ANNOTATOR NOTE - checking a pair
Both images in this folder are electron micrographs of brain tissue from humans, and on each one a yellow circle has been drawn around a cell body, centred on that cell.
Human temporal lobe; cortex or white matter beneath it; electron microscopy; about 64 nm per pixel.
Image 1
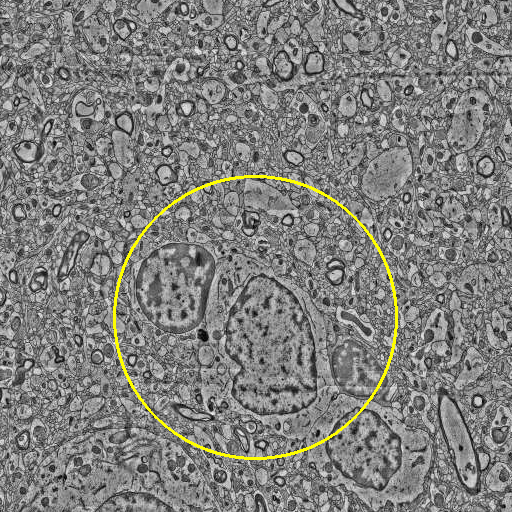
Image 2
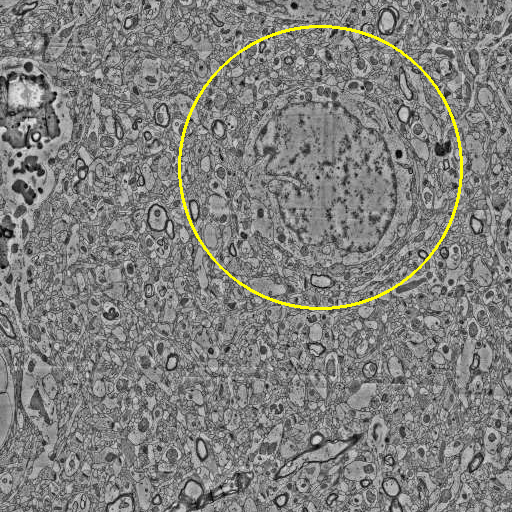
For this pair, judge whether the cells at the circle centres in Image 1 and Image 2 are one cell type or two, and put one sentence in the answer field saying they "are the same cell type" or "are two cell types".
For this pair, the cells at the circle centres in Images 1 and 2 are two cell types.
